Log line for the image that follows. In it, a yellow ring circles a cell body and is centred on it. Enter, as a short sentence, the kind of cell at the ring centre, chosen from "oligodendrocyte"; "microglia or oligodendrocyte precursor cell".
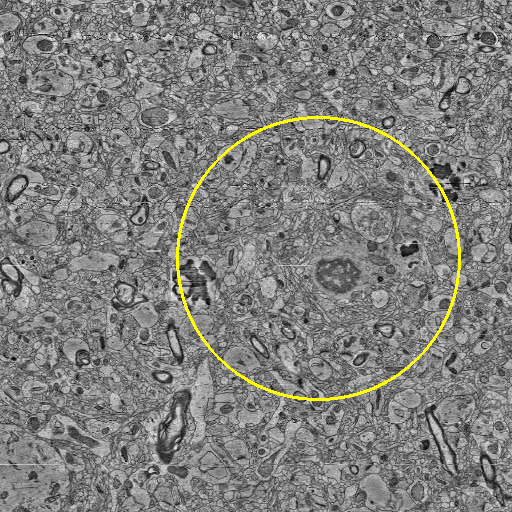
The ring centre is occupied by an oligodendrocyte.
